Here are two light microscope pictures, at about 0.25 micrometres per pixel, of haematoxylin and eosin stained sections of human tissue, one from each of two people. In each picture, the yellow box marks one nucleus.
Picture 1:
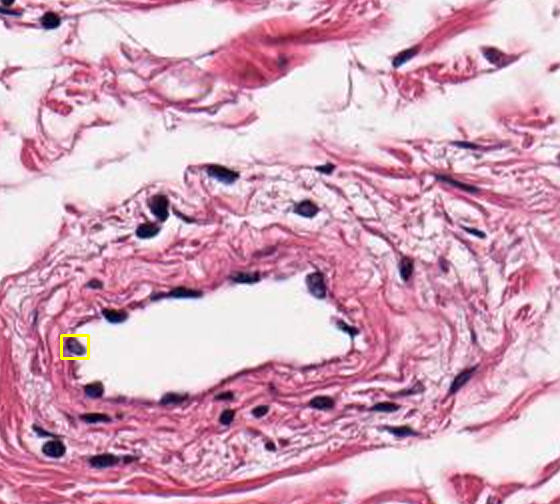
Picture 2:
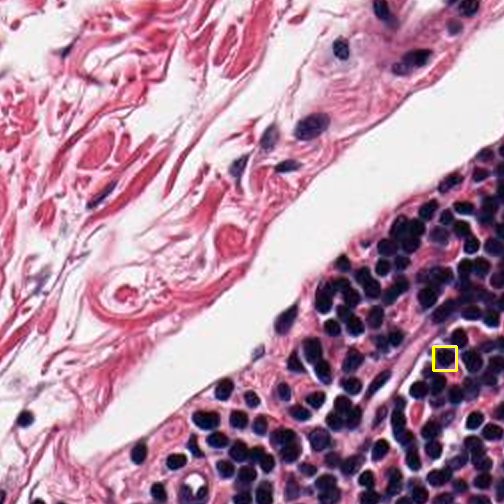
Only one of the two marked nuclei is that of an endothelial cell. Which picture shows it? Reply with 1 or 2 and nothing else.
1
